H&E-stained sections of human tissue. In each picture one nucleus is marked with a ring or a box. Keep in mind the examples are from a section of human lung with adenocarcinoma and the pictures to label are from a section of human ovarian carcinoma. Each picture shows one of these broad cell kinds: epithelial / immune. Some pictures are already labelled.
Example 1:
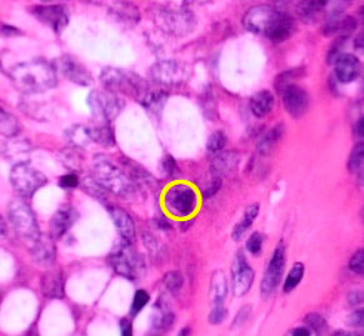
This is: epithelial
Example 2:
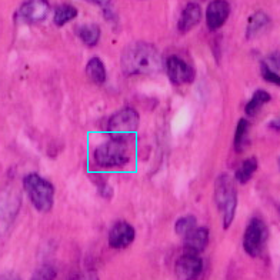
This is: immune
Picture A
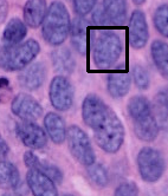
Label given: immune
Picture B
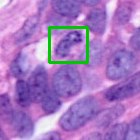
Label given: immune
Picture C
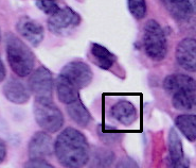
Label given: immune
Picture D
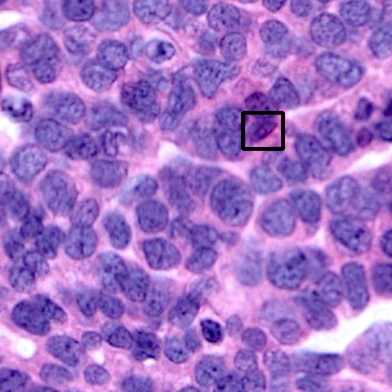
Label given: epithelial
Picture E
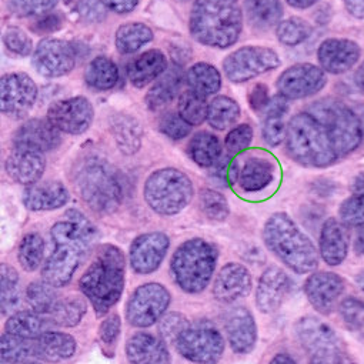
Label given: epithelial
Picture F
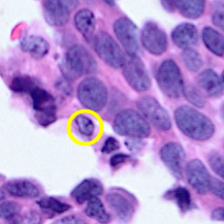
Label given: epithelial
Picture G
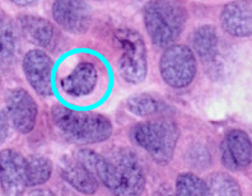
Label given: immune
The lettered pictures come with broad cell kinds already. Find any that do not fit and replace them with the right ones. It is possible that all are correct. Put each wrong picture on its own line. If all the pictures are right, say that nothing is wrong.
Wrong: A (immune); correct: epithelial
Wrong: F (epithelial); correct: immune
